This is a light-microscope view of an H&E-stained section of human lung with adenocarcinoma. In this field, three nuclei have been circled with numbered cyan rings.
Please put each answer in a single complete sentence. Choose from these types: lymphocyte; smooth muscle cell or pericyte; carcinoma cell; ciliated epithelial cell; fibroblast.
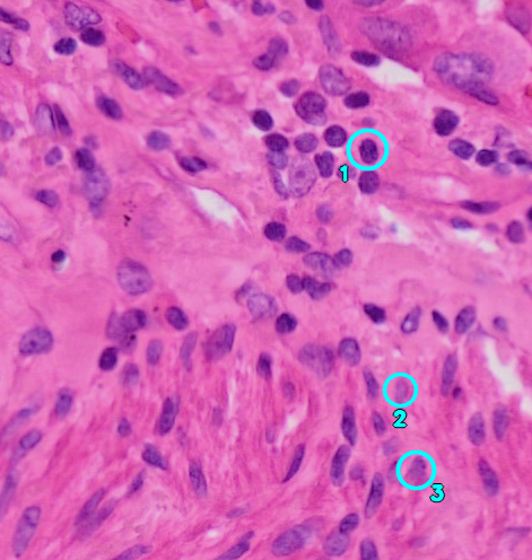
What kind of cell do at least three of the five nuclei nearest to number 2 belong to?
The majority of the five nuclei closest to number 2 belong to smooth muscle cells or pericytes.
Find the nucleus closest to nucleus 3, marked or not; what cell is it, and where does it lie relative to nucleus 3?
The closest nucleus belongs to a smooth muscle cell or pericyte and sits to the left of nucleus 3.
